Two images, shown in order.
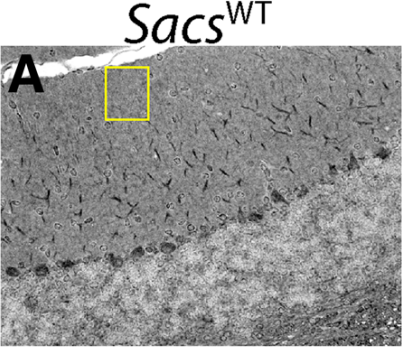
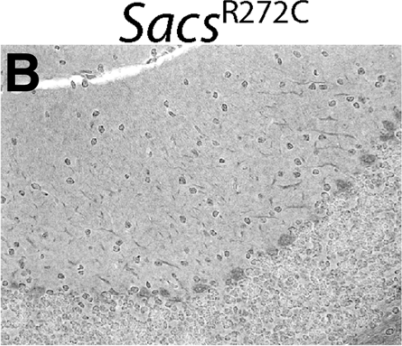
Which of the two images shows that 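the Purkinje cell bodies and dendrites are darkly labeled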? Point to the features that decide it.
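The first image. Second image: the row of large cell bodies and the processes above it are only faintly grey on a pale background. First image: the large cell bodies are dark and many dark processes stand out in the upper layer.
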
